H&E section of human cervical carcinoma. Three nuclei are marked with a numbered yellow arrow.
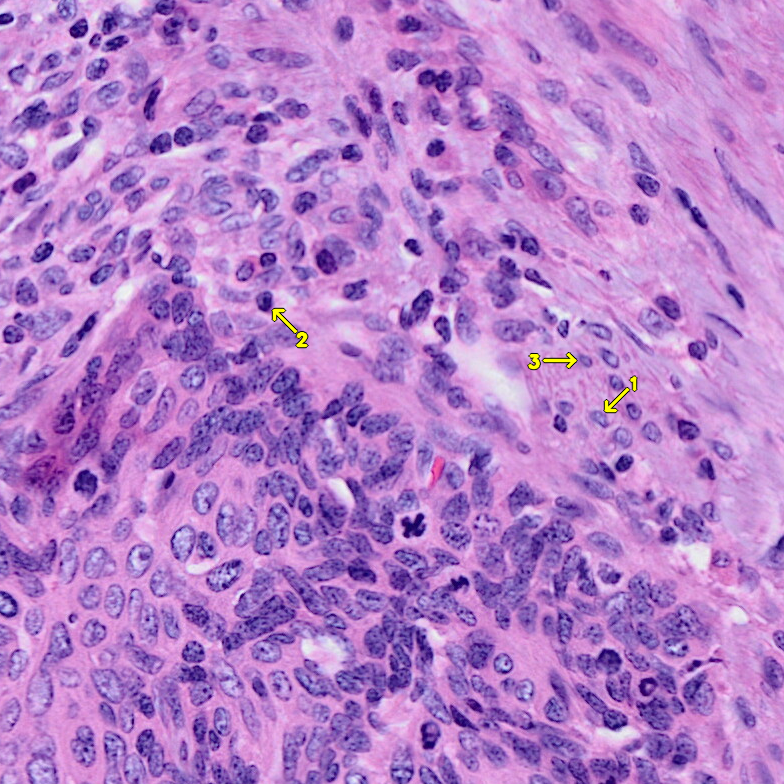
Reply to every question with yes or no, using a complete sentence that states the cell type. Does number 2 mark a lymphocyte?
Yes, the one numbered 2 is a lymphocyte.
